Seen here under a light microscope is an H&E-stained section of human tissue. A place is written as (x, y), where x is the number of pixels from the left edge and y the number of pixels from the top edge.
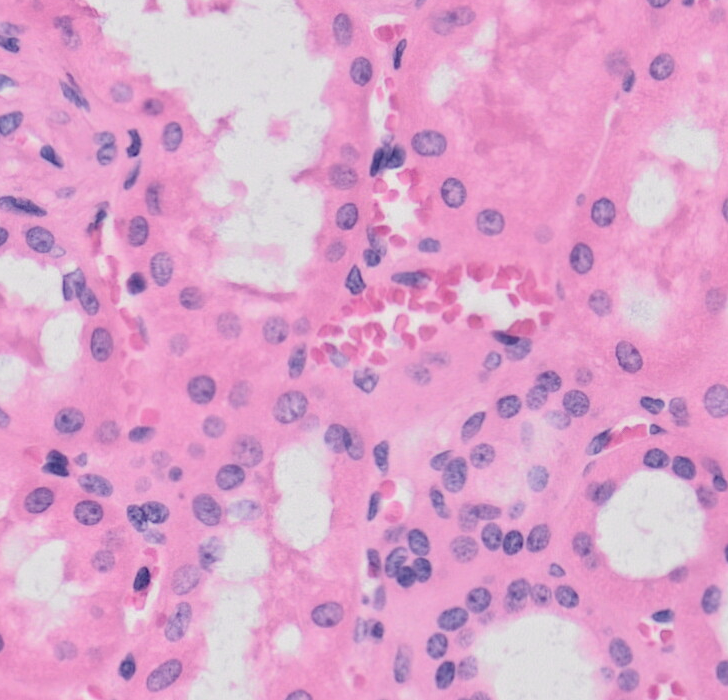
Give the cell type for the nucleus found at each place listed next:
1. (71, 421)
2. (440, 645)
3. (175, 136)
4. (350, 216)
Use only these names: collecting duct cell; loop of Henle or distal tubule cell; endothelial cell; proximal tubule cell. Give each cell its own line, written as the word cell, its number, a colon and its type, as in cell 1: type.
cell 1: proximal tubule cell
cell 2: collecting duct cell
cell 3: proximal tubule cell
cell 4: proximal tubule cell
